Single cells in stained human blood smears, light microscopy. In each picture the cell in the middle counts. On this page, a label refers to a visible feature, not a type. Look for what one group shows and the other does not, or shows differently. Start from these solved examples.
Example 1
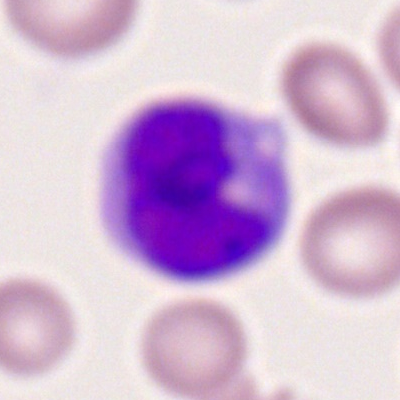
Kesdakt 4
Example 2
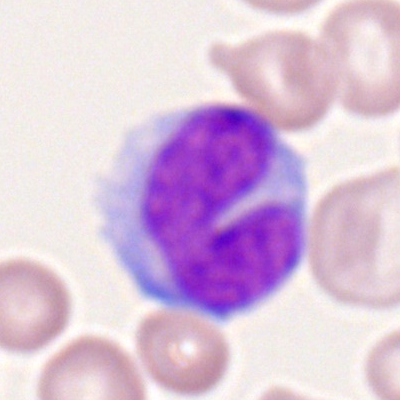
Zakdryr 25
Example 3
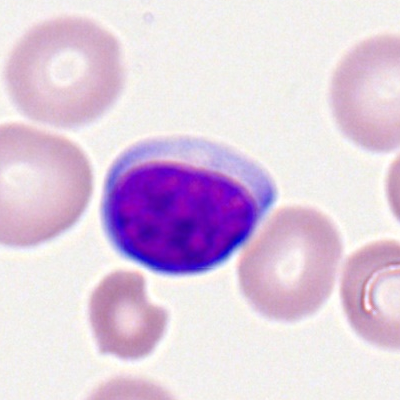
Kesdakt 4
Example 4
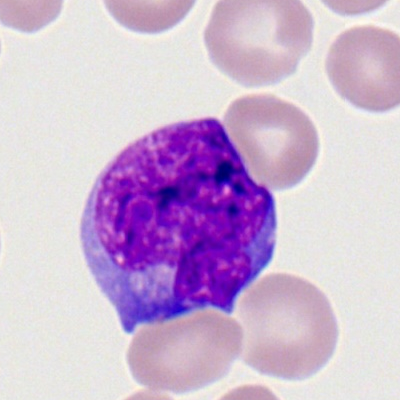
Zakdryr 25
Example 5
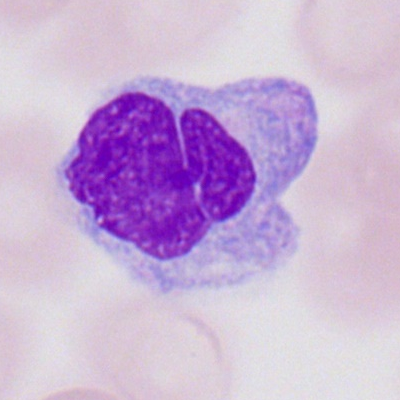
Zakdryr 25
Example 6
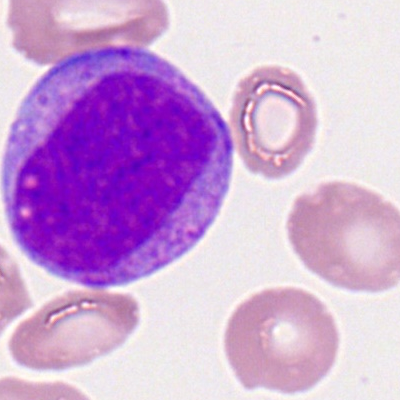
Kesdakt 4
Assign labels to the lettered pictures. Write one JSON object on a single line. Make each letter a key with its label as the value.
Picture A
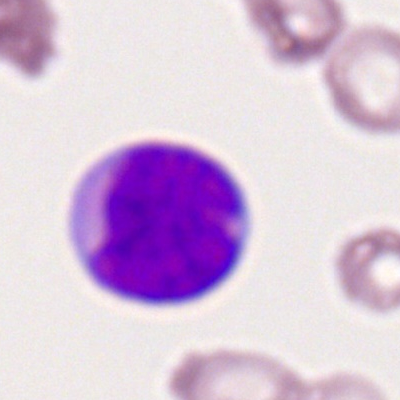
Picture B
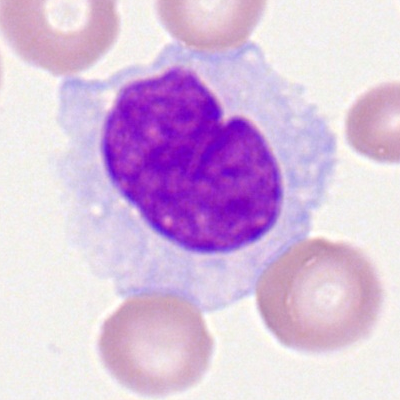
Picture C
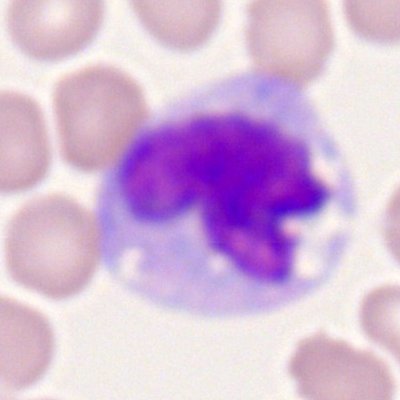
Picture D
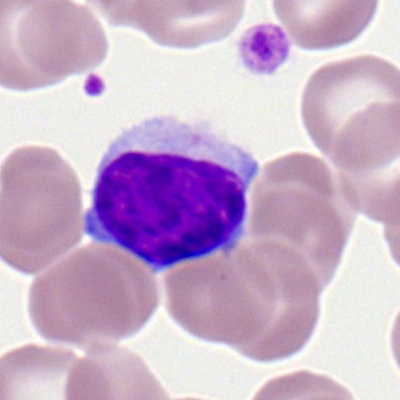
{"A": "Kesdakt 4", "B": "Zakdryr 25", "C": "Kesdakt 4", "D": "Zakdryr 25"}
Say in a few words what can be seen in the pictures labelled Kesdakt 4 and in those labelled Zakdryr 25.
Kesdakt 4, smooth outline; Zakdryr 25, ragged outline or projections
